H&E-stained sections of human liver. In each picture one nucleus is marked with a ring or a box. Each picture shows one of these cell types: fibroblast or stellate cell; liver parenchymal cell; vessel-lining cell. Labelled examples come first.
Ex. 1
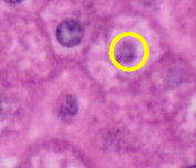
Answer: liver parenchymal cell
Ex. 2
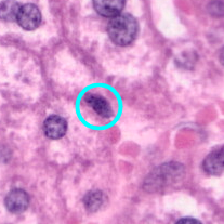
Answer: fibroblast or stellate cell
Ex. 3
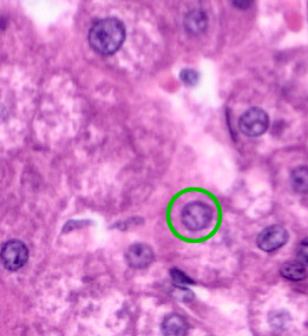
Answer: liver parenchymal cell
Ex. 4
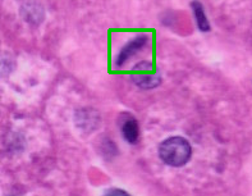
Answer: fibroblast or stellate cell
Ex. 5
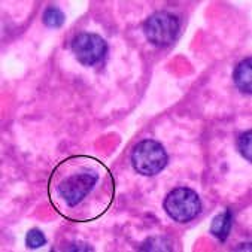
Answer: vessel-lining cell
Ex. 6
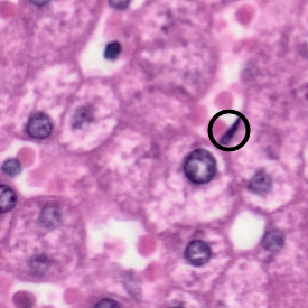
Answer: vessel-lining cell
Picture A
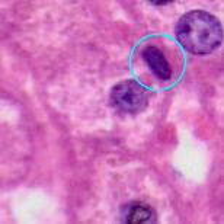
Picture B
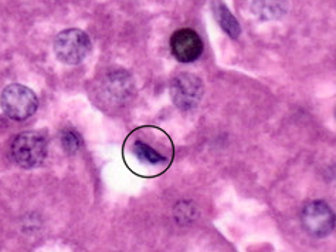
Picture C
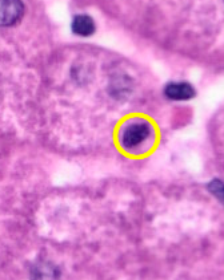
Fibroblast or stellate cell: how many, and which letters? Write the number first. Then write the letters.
2, namely A, C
